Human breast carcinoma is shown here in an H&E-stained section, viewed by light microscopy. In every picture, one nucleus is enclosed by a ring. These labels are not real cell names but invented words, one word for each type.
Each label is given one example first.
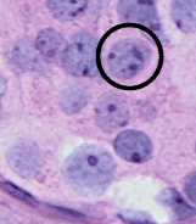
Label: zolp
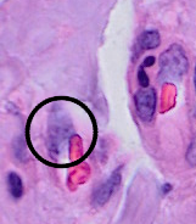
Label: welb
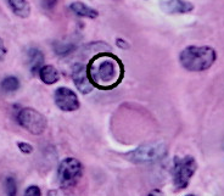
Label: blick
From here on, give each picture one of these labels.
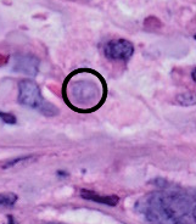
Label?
welb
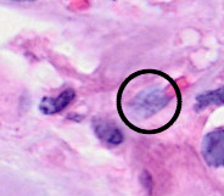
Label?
welb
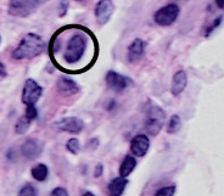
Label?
blick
